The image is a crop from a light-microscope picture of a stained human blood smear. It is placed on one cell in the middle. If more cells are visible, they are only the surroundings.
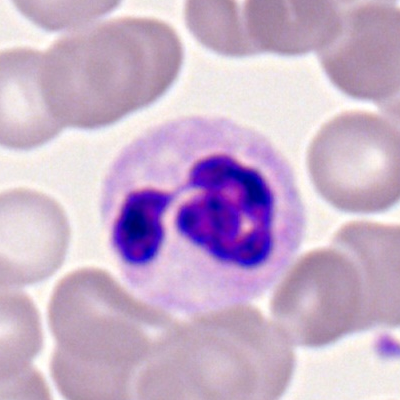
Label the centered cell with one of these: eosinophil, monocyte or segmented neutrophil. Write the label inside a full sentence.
The middle position in this crop is taken by a segmented neutrophil.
